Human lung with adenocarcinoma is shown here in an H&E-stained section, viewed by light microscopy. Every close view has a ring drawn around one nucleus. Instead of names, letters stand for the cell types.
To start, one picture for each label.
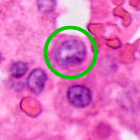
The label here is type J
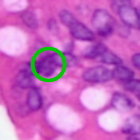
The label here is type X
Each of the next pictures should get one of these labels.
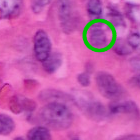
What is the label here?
type X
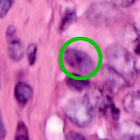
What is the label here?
type X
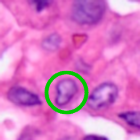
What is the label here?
type J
